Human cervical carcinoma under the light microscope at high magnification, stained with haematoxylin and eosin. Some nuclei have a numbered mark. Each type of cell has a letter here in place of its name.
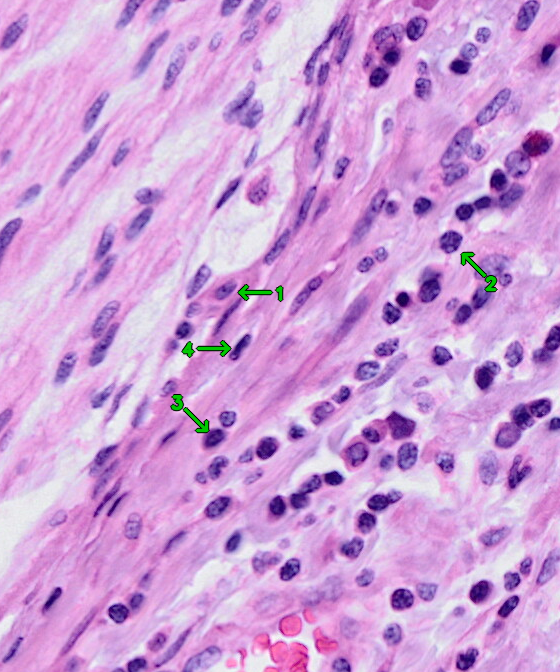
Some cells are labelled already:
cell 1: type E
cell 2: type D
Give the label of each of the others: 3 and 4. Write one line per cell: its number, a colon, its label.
3: type D
4: type D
